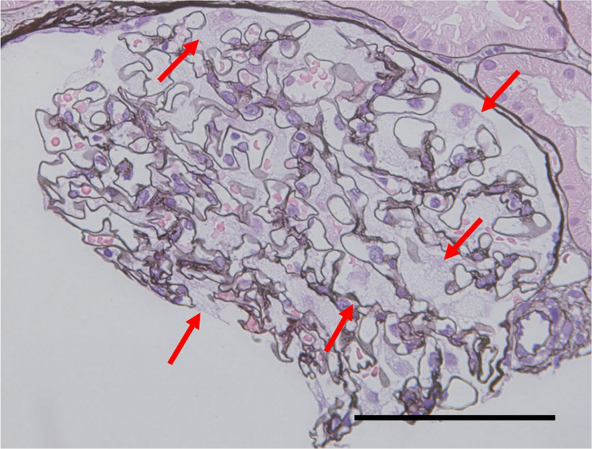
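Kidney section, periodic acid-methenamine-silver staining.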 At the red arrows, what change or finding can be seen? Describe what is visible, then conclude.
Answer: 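Foamy podocytes with many vacuolations. The arrowed cells lie outside the black-outlined capillary loops, facing the urinary space. Their cytoplasm is pale, swollen and vacuolated.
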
